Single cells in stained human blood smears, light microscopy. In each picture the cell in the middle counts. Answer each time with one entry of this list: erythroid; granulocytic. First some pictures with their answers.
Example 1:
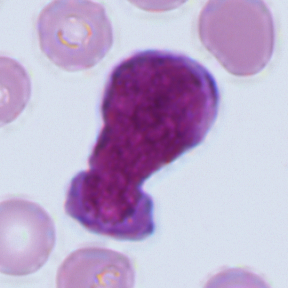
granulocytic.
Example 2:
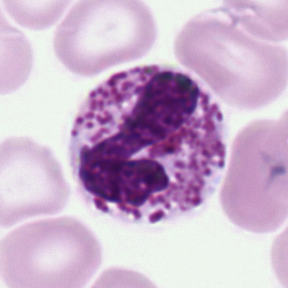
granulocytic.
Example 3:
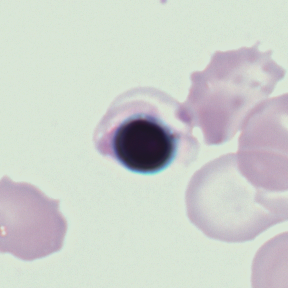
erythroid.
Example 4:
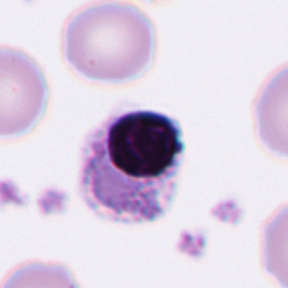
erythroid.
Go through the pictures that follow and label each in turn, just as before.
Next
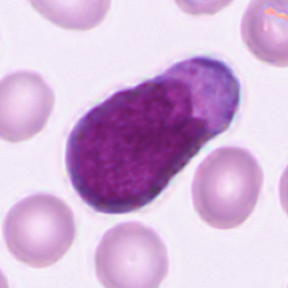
granulocytic.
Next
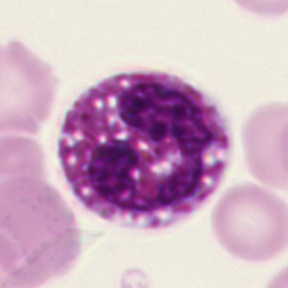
granulocytic.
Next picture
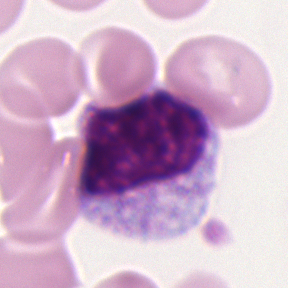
granulocytic.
